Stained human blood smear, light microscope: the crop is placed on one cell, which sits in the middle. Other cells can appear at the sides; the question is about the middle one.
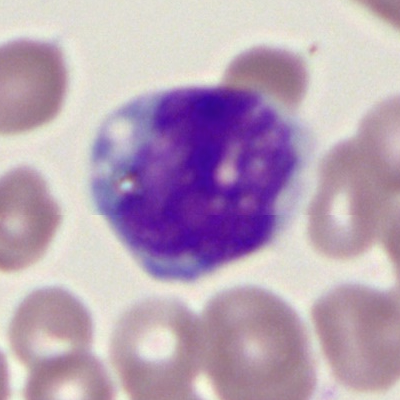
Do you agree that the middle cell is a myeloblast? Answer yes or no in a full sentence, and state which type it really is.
No; rather than a myeloblast, the cell at the center is a monocyte.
